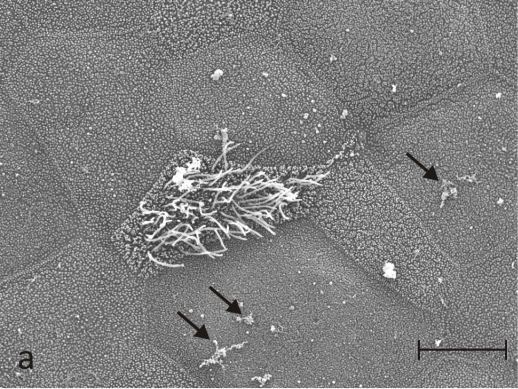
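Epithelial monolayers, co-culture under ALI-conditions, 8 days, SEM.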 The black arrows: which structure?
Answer: mucus-like amorphous material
